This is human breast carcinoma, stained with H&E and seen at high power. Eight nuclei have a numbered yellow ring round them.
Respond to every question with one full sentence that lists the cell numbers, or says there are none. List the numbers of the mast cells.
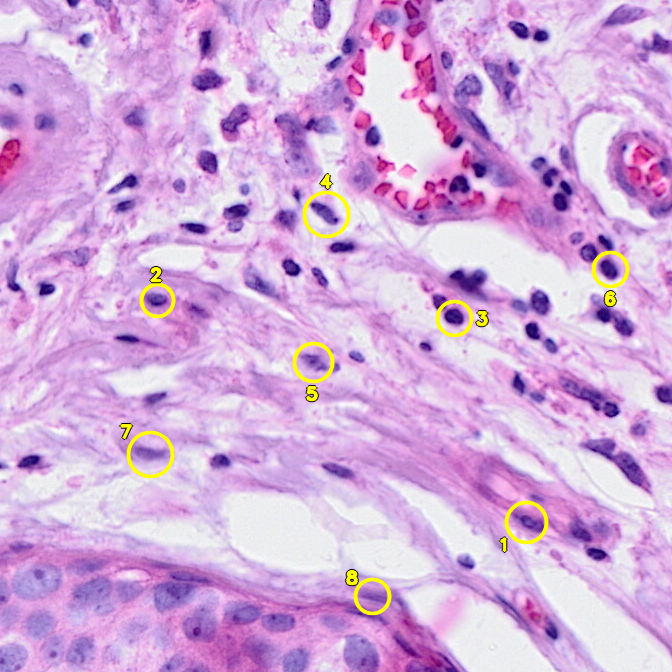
Exactly one numbered cell is a mast cell, and that cell is number 2.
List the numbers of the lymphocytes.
By cell type, the cells numbered 3, 4 and 6 are lymphocytes.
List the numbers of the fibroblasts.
In this section, the cells numbered 5 and 7 are fibroblasts.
